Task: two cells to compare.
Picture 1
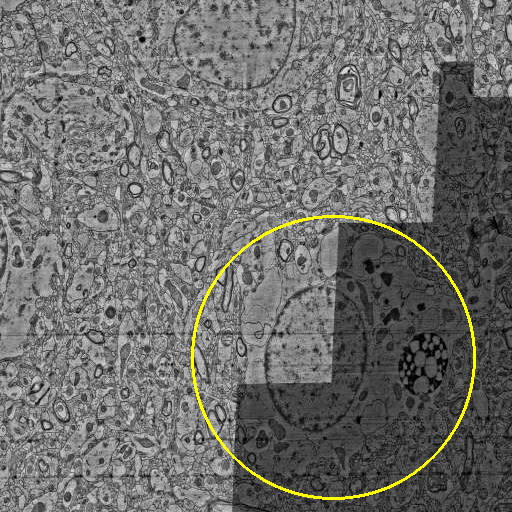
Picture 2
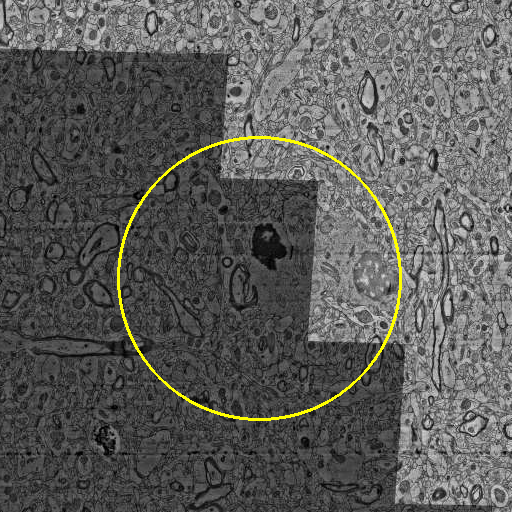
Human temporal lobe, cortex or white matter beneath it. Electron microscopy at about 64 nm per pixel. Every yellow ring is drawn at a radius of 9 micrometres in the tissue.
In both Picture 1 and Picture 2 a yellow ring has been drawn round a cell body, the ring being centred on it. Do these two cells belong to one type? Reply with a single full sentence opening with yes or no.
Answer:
No, the two cells at the ring centres in Picture 1 and Picture 2 are of two types.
